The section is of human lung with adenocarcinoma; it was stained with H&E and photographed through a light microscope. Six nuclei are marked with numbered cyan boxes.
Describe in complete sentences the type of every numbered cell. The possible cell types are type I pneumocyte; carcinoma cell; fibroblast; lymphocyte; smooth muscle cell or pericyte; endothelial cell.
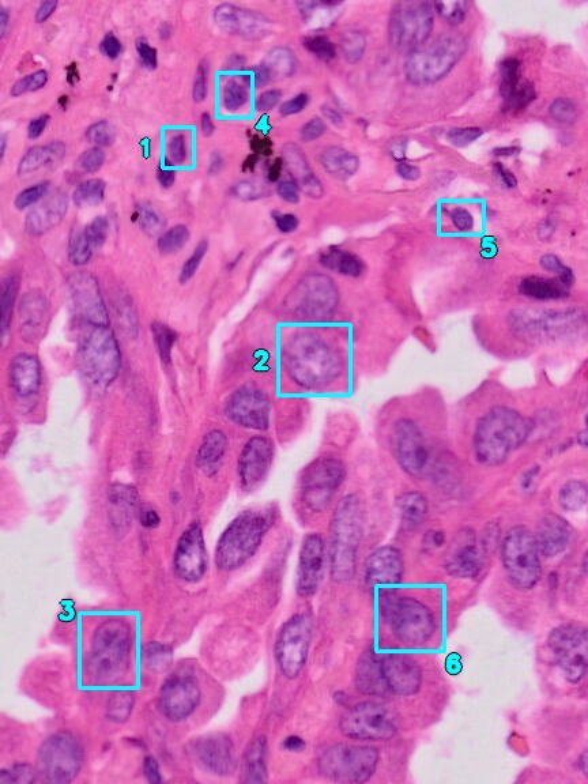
Cell 1 is a lymphocyte, cell 2 is a carcinoma cell, cell 3 is a carcinoma cell, cell 4 is a lymphocyte, cell 5 is a lymphocyte and cell 6 is a carcinoma cell.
